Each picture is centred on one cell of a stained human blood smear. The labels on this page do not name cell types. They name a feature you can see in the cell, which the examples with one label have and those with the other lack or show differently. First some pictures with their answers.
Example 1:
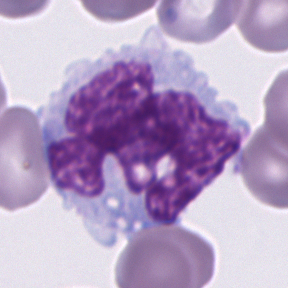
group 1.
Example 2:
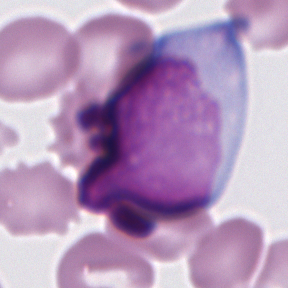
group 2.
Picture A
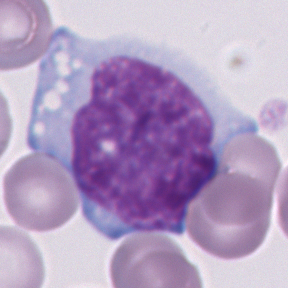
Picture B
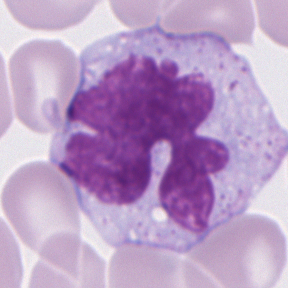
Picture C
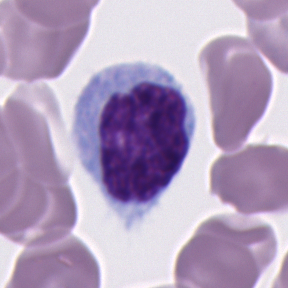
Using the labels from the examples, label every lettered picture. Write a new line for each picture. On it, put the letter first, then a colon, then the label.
A: group 1.
B: group 1.
C: group 2.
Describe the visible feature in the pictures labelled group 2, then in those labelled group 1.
group 2, no vacuoles; group 1, vacuoles present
